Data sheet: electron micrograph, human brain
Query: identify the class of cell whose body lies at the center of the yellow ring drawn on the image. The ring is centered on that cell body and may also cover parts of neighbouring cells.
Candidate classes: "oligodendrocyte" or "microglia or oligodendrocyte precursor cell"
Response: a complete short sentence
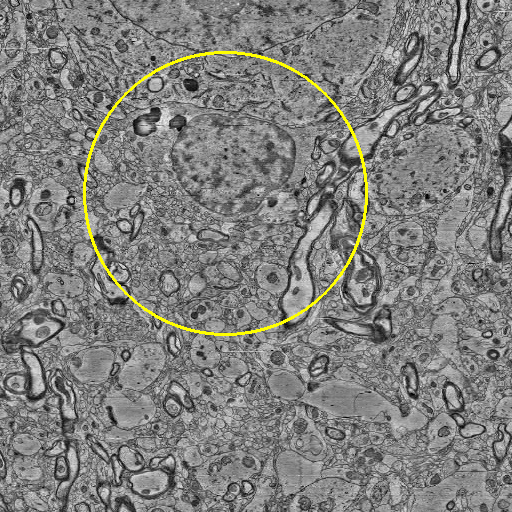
At the center of the ring lies an oligodendrocyte.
